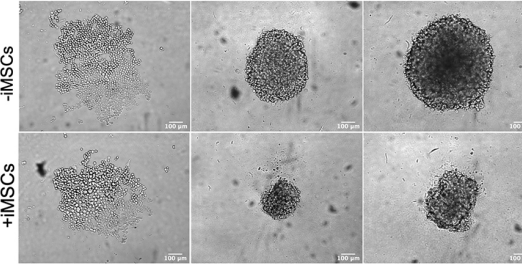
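In the first image of each row the cells lie loosely as a scattered cluster of small, round, refractile cells that can be told apart one by one. In the later images the cells have gathered into a single compact, roughly round aggregate with a slightly irregular edge. In the upper row the aggregate grows into a large, dense mass whose centre becomes dark and opaque, with cells at the rim still loosely attached. In the lower row the aggregates are smaller and more irregular in outline at each step, though they also enlarge and darken over the row.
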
